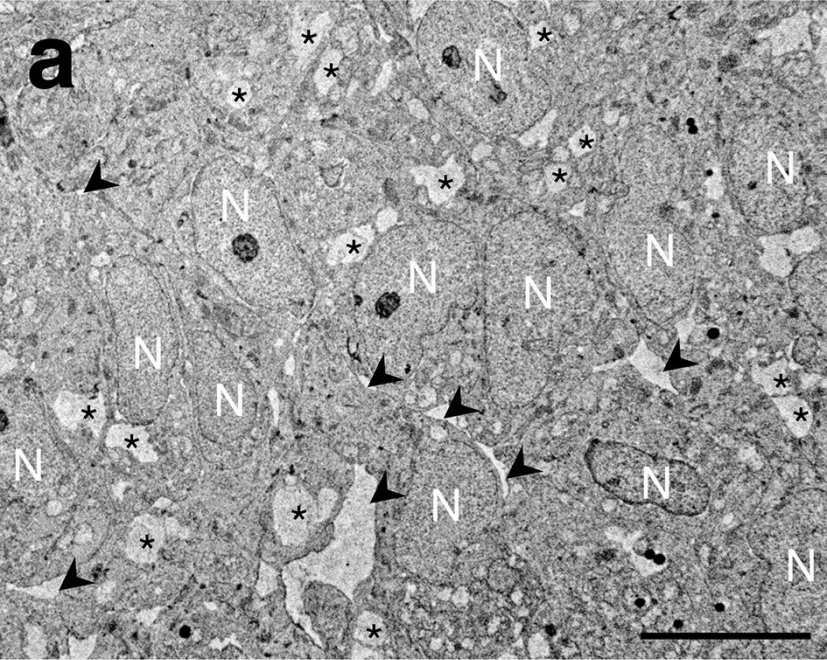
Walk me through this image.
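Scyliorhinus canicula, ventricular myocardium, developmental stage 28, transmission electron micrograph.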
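The cytoplasm holds numerous small pale rounded vesicles and scattered small dense granules. Irregular electron-lucent spaces of varied size lie between the cells, from narrow clefts to larger angular gaps.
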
